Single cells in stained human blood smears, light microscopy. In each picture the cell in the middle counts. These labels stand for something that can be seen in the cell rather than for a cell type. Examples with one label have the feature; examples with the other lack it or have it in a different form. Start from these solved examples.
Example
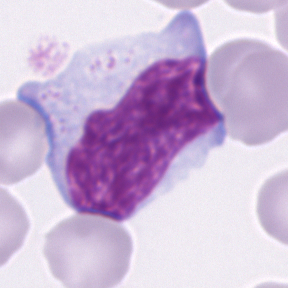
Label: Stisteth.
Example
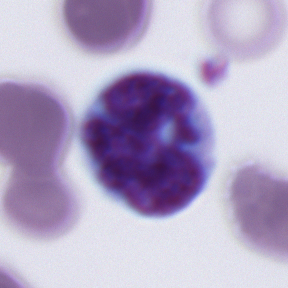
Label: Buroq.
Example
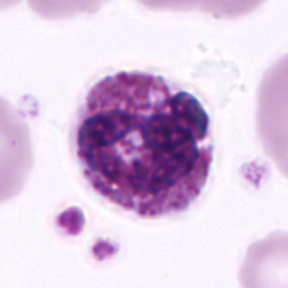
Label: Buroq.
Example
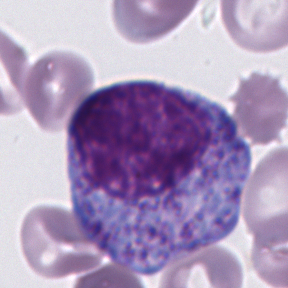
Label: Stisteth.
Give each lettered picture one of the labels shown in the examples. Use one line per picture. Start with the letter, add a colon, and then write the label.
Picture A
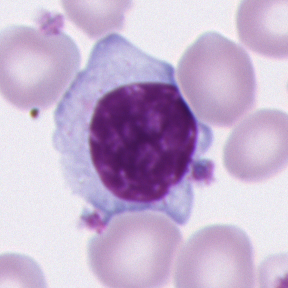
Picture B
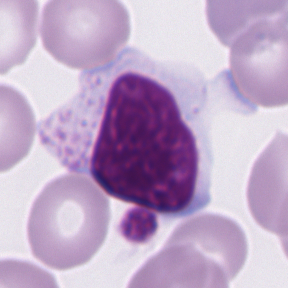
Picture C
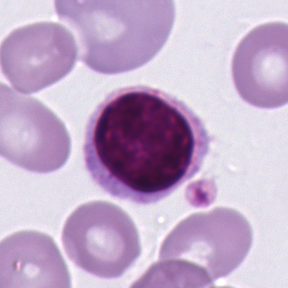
A: Stisteth.
B: Stisteth.
C: Buroq.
